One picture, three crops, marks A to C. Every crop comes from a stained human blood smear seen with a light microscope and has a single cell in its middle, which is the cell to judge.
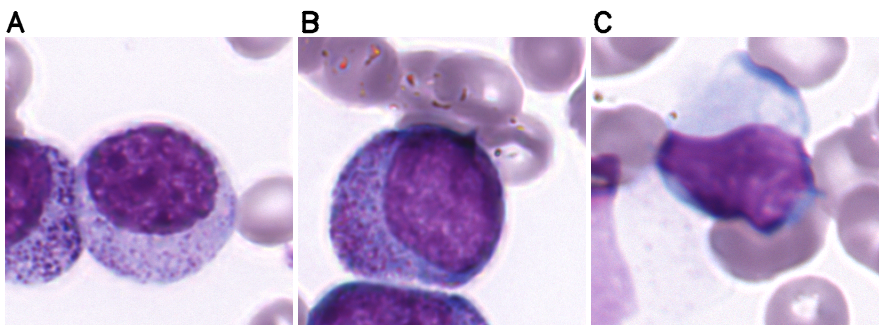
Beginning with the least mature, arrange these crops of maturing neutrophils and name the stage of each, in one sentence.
Least to most mature, the order stands as crop C (a blast), crop B (a promyelocyte) and crop A (a myelocyte).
